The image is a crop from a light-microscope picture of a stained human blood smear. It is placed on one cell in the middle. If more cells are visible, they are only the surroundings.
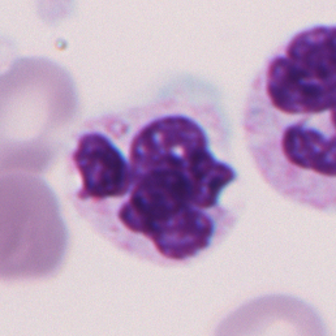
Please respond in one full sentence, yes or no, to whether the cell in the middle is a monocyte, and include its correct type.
No, this cell in the middle is a segmented neutrophil, so it is not a monocyte.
